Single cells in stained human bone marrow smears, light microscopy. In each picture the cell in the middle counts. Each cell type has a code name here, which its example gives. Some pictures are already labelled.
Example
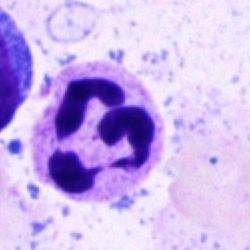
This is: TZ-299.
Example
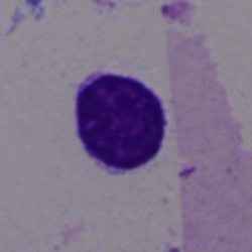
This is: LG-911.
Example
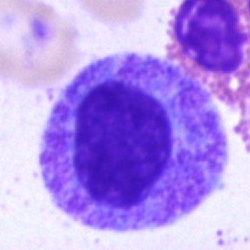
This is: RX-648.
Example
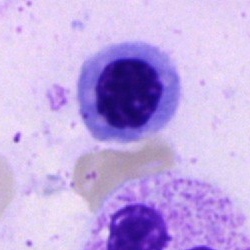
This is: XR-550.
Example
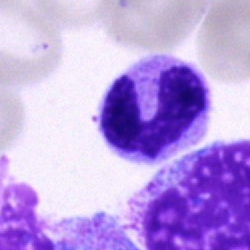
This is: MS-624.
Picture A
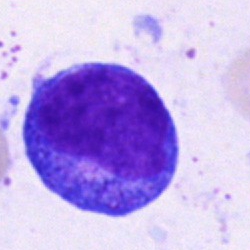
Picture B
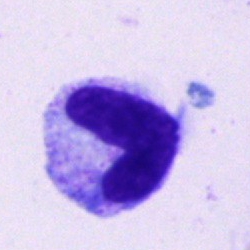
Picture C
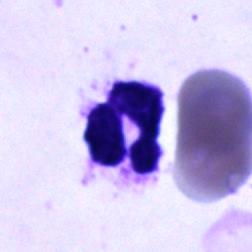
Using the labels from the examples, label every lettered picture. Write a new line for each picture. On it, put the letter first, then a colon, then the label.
A: RX-648.
B: MS-624.
C: TZ-299.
